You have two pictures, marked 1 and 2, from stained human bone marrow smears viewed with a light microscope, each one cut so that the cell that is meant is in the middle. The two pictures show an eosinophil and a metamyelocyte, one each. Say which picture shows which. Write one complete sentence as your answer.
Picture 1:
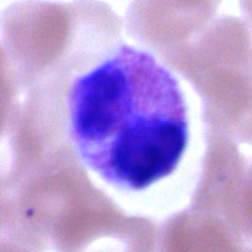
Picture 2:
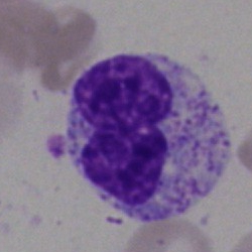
It is picture 1 that shows an eosinophil, and picture 2 that shows a metamyelocyte.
